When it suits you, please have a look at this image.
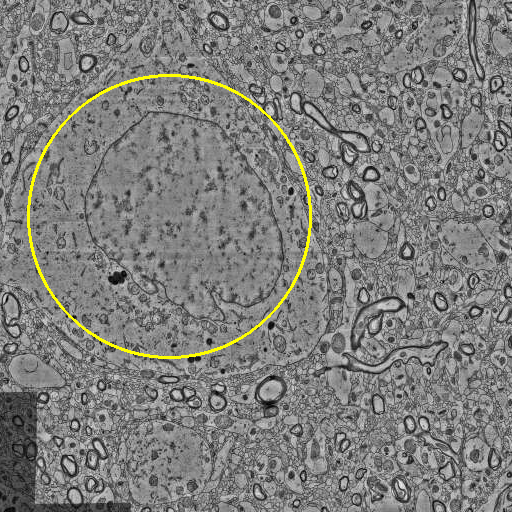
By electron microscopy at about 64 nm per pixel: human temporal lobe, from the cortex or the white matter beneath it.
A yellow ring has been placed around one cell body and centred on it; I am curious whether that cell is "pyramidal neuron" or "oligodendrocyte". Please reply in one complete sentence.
The ringed cell, a pyramidal neuron, has its body at the centre of the yellow ring.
